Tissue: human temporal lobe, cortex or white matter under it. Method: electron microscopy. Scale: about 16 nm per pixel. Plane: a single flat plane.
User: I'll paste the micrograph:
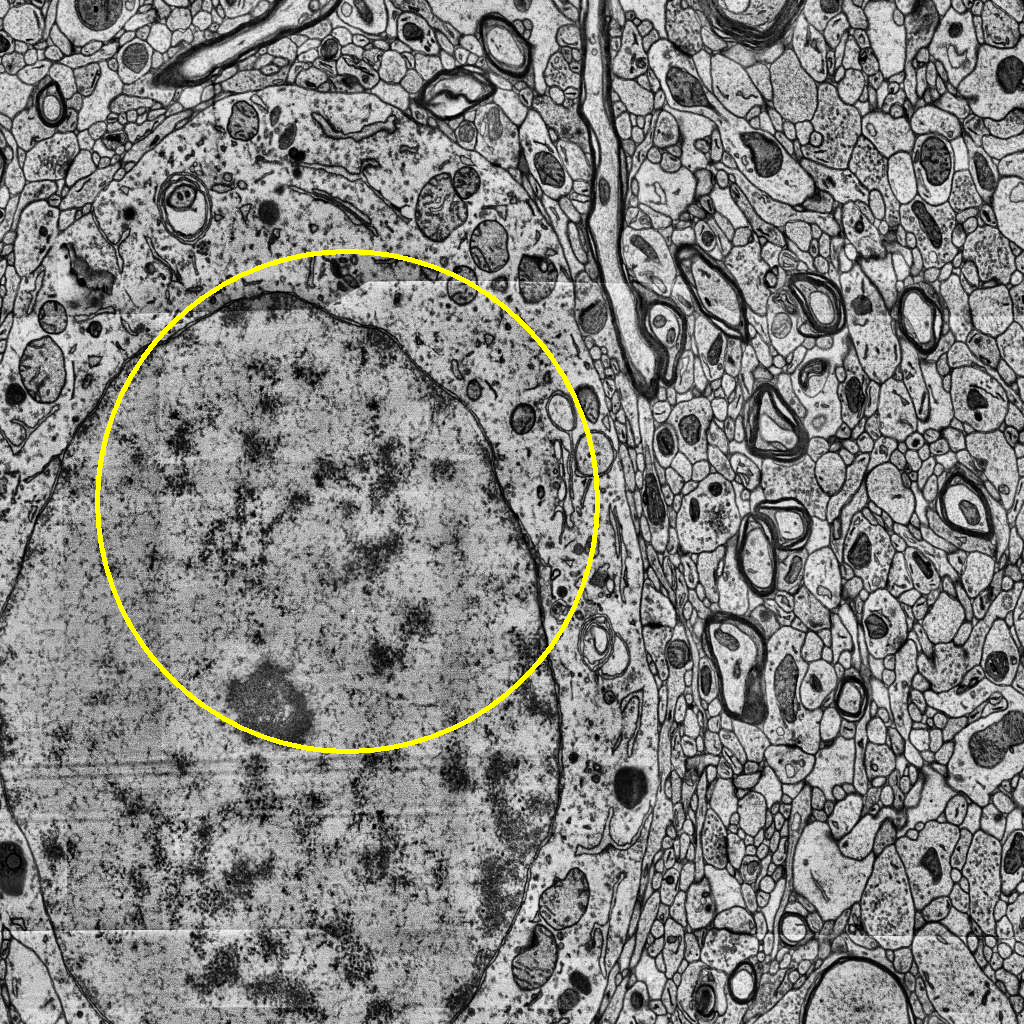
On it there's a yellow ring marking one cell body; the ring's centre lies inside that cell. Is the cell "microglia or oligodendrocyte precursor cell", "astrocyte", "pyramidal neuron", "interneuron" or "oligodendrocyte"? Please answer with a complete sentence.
The cell at the centre of the yellow ring is a pyramidal neuron.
